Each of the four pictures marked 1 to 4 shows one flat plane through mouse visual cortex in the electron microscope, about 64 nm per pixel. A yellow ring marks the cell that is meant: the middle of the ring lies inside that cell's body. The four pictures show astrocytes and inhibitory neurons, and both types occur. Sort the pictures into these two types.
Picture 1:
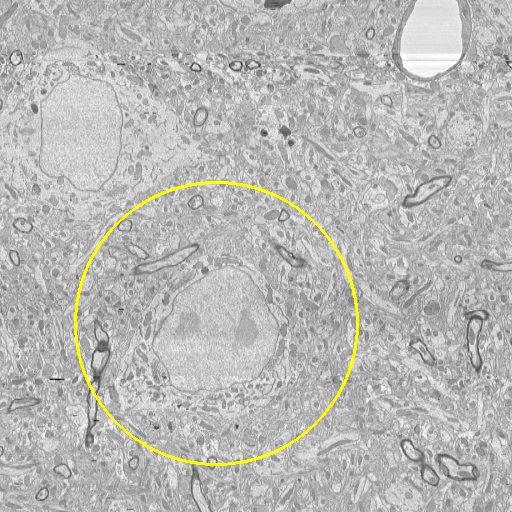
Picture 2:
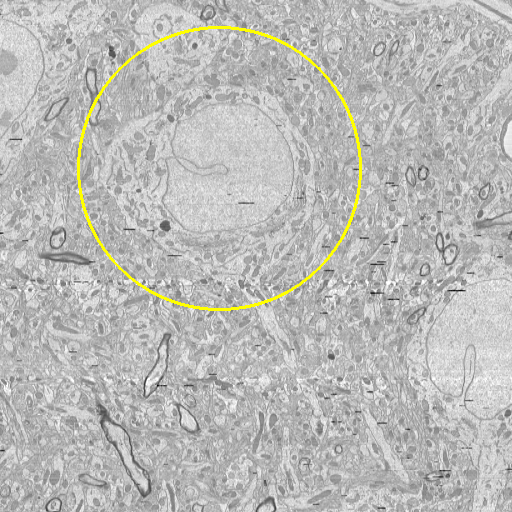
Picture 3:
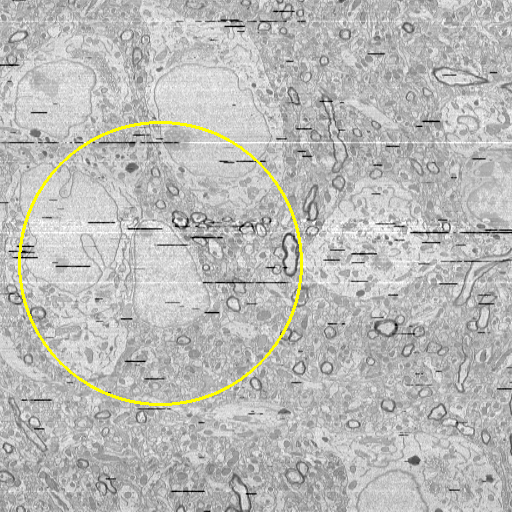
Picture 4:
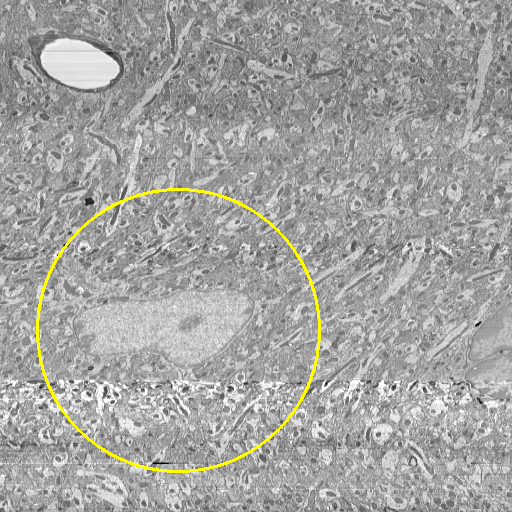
Pictures 3 and 4 show astrocytes, while pictures 1 and 2 show inhibitory neurons.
